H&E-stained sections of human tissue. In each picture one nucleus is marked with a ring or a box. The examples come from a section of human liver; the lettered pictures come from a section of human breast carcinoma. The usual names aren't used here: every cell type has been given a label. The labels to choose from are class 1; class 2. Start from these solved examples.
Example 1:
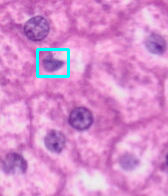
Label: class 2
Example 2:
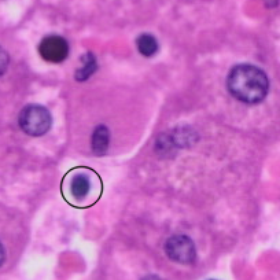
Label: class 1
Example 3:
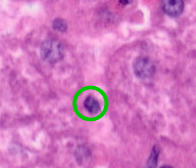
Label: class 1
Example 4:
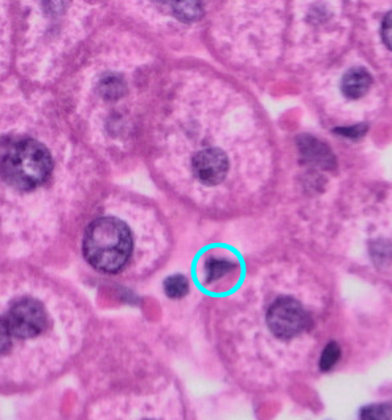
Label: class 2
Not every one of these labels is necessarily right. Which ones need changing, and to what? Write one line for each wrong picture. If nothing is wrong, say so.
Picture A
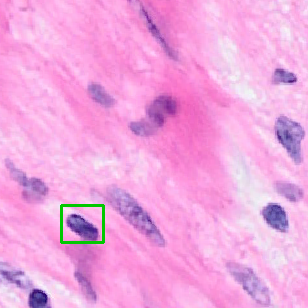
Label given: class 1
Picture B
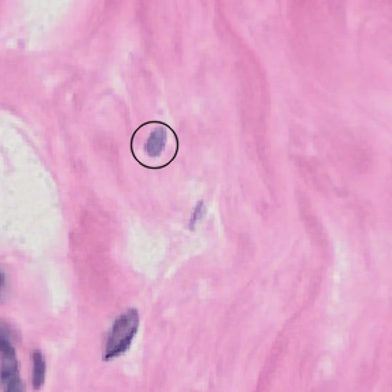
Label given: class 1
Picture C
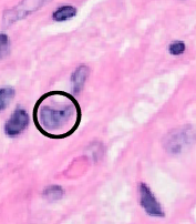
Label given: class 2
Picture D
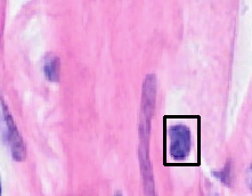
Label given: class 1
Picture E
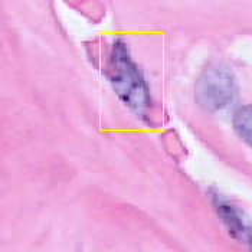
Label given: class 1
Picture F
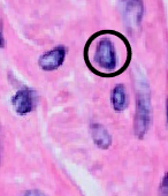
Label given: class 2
E: class 2, not class 1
